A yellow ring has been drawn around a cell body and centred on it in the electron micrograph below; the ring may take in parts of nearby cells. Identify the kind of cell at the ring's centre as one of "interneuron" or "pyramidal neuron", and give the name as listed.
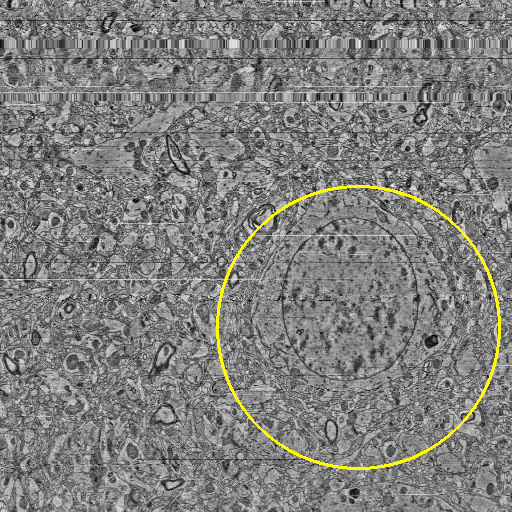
pyramidal neuron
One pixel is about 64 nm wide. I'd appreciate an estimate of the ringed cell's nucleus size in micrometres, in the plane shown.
In this plane the nucleus spans approximately 11 by 9 micrometers.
